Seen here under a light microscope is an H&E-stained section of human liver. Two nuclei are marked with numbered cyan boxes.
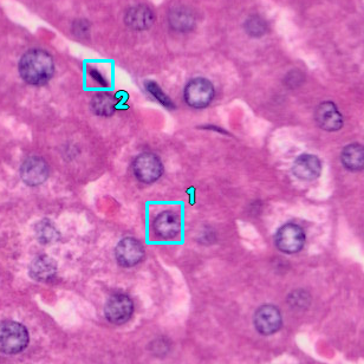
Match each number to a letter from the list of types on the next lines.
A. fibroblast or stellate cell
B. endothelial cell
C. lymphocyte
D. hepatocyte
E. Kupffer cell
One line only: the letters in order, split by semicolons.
D; E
